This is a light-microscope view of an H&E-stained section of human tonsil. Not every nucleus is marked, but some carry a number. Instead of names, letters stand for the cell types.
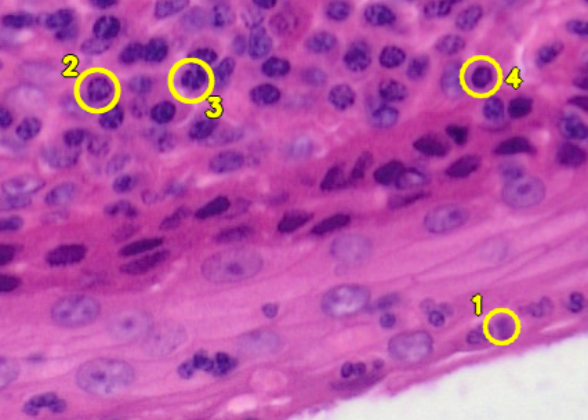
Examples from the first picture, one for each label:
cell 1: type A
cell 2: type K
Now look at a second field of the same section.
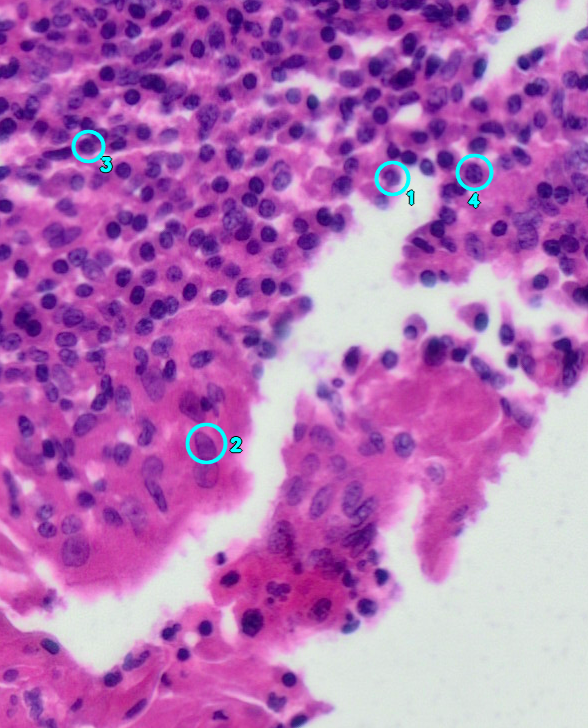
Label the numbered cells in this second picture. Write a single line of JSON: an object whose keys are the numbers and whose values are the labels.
{"1": "type K", "2": "type A", "3": "type K", "4": "type K"}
